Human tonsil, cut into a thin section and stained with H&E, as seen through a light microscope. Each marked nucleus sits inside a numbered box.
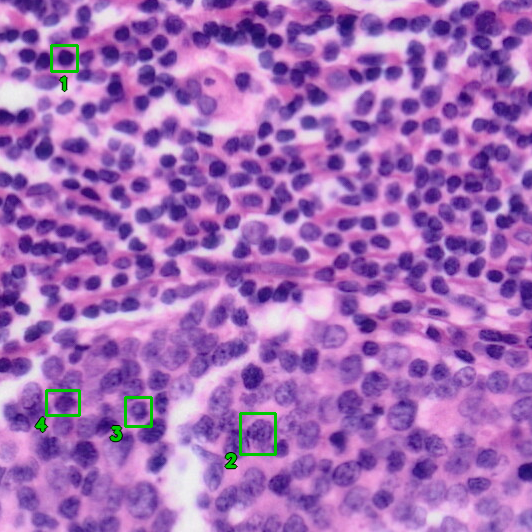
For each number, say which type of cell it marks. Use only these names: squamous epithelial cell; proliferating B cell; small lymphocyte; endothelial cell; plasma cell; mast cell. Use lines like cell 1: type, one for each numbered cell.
cell 1: small lymphocyte
cell 2: proliferating B cell
cell 3: proliferating B cell
cell 4: proliferating B cell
